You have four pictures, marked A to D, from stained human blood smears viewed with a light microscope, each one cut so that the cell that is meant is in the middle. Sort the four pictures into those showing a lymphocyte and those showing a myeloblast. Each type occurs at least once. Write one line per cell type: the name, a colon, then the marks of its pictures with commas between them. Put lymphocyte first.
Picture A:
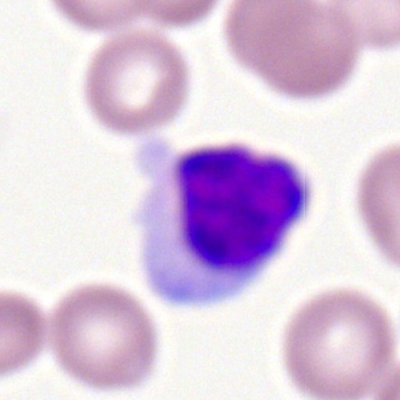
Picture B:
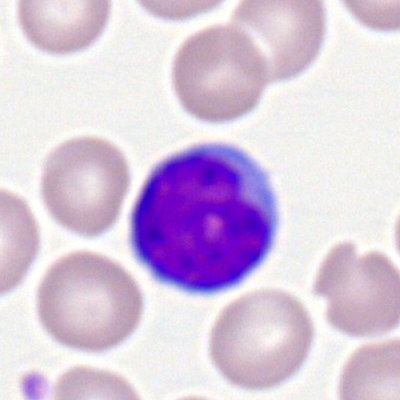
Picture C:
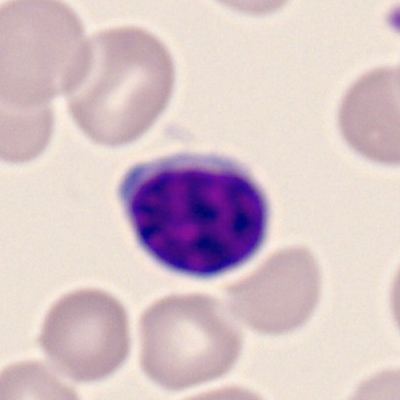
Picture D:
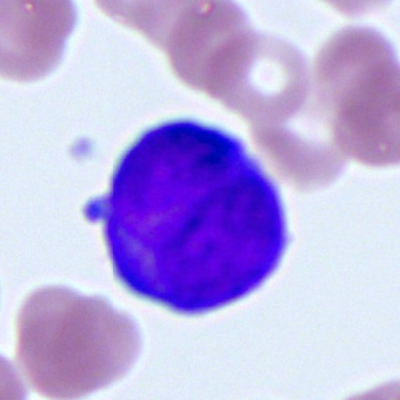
lymphocyte: A, B, C
myeloblast: D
